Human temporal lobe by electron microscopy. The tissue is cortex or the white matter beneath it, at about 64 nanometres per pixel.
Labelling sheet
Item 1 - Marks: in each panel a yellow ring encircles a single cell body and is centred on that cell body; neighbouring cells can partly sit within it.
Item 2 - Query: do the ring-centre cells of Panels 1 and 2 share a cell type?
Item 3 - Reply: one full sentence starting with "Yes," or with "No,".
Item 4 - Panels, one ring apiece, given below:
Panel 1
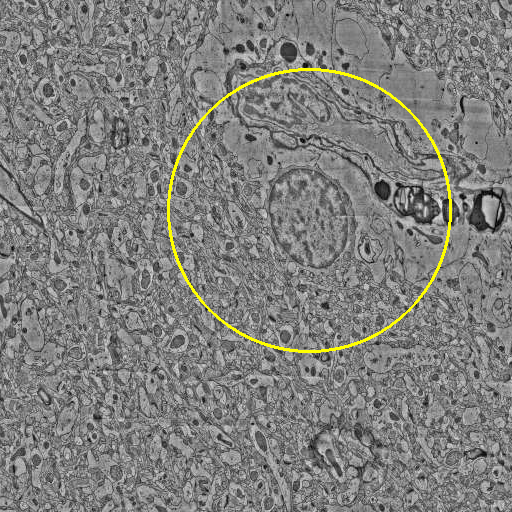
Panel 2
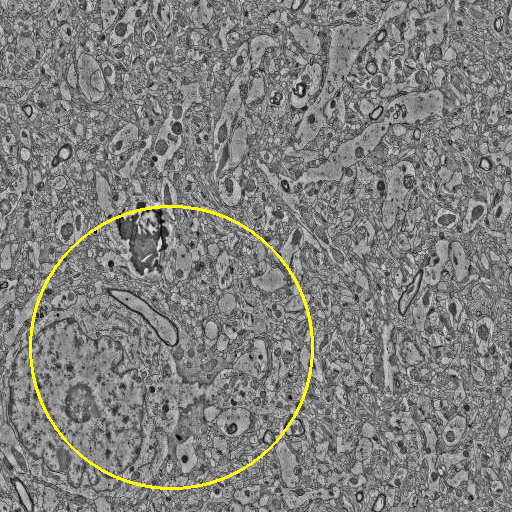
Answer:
Yes, Panel 1 and Panel 2 show one cell type at the centres of their rings.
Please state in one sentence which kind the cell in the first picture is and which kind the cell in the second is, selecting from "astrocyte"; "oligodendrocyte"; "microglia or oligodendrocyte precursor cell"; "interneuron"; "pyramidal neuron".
The second cell is an oligodendrocyte, just as the first is.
